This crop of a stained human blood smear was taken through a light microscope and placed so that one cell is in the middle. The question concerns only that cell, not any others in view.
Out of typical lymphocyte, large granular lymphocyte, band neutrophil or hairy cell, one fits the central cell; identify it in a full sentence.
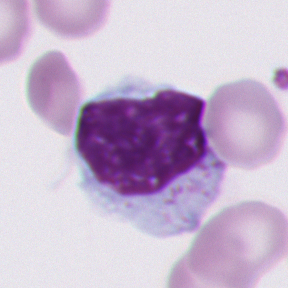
The cell around which this crop is centred is a large granular lymphocyte.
